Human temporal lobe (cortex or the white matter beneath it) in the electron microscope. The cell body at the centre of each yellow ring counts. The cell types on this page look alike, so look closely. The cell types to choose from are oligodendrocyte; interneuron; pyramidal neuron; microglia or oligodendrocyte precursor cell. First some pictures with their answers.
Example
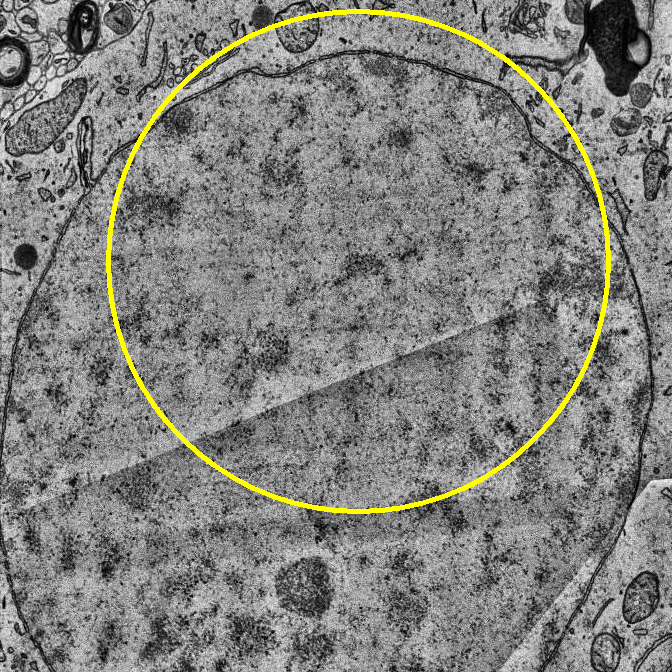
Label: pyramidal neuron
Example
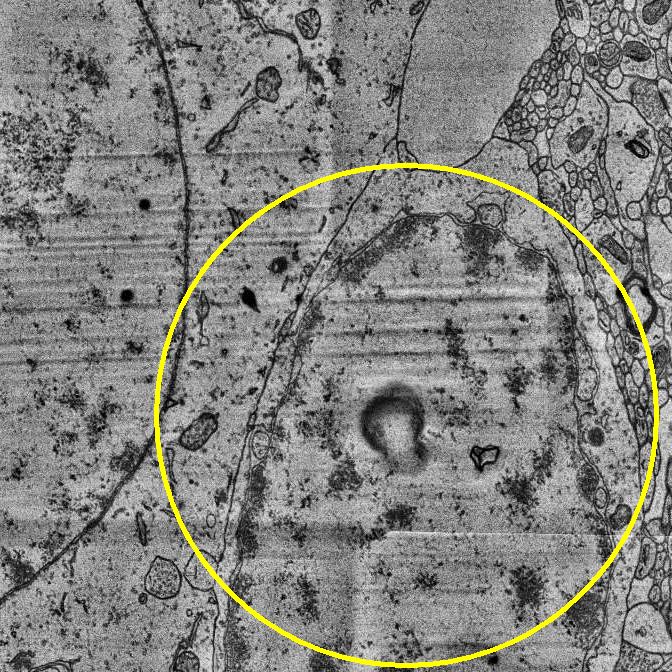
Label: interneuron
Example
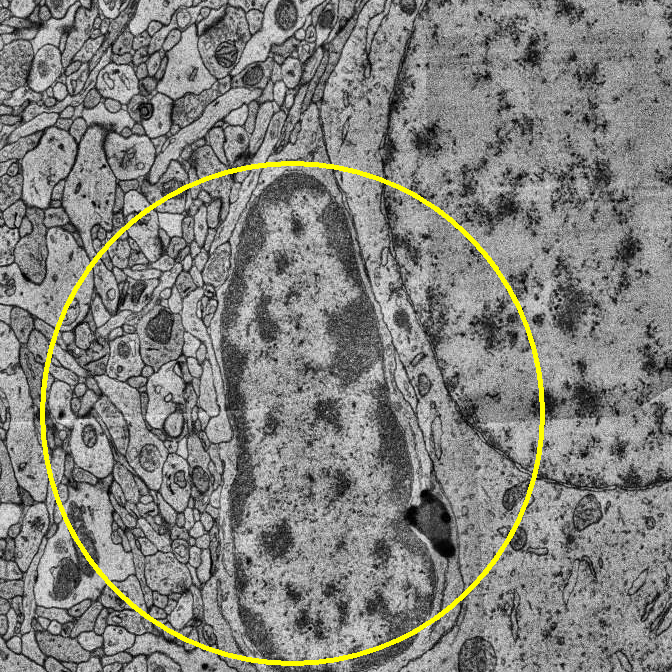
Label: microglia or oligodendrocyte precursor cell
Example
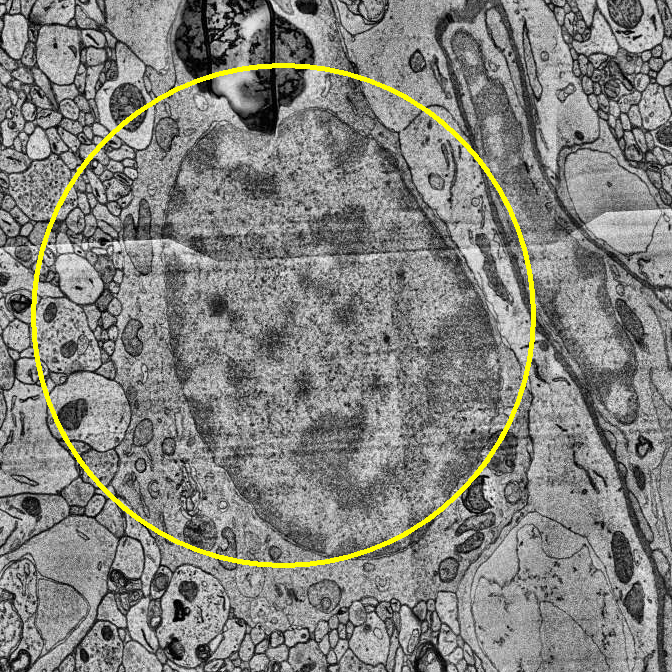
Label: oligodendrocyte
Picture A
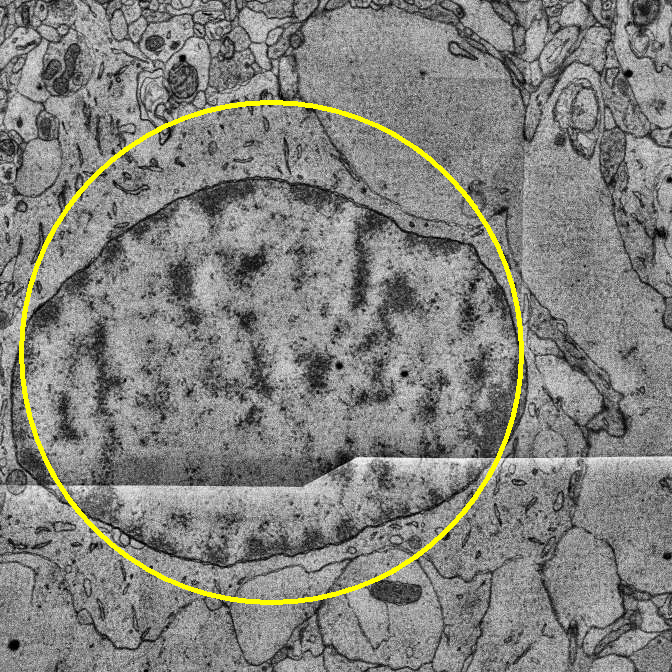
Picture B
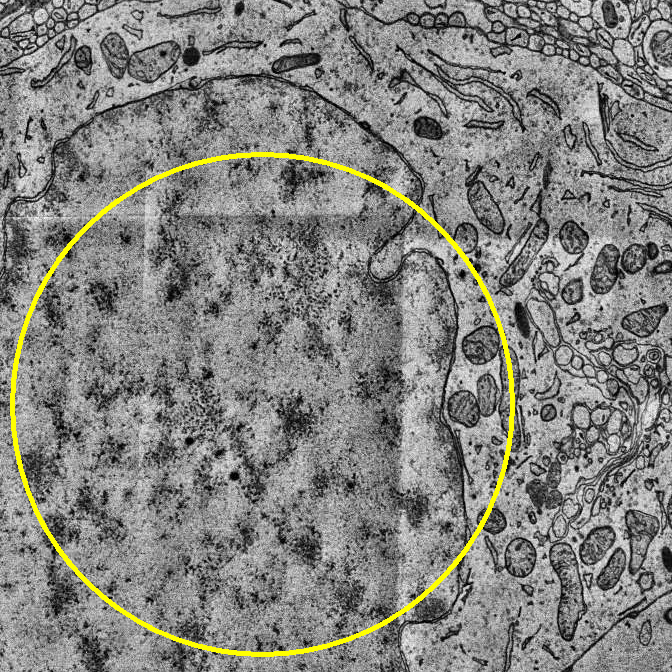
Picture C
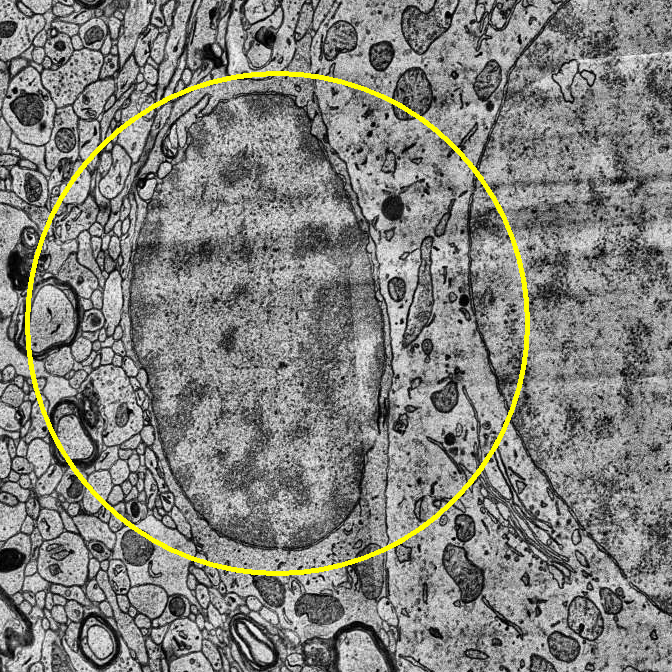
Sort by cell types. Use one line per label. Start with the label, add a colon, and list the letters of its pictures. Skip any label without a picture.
oligodendrocyte: C
interneuron: B
microglia or oligodendrocyte precursor cell: A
